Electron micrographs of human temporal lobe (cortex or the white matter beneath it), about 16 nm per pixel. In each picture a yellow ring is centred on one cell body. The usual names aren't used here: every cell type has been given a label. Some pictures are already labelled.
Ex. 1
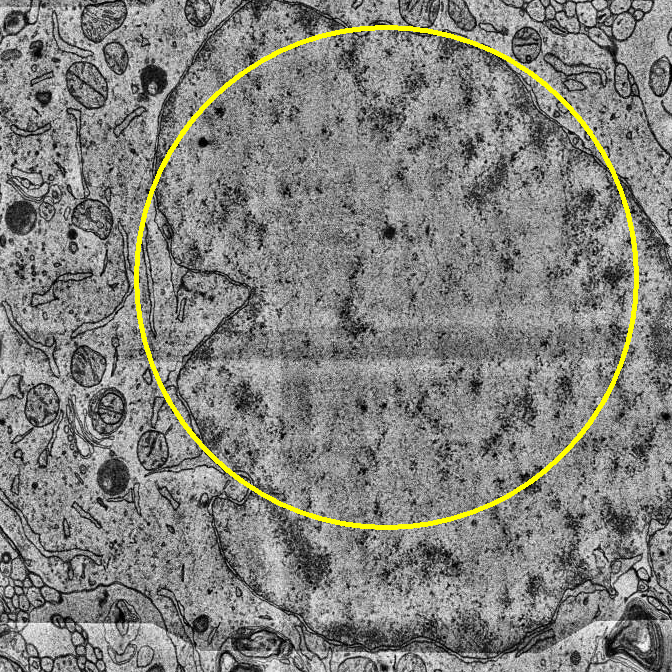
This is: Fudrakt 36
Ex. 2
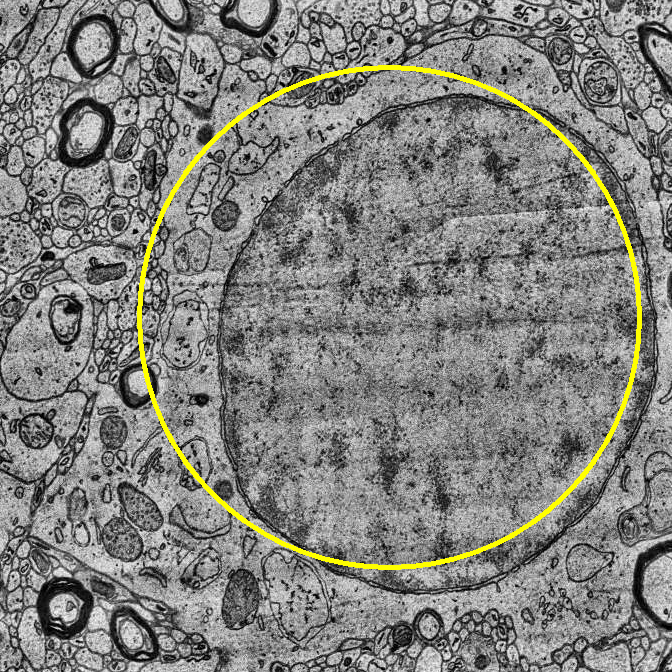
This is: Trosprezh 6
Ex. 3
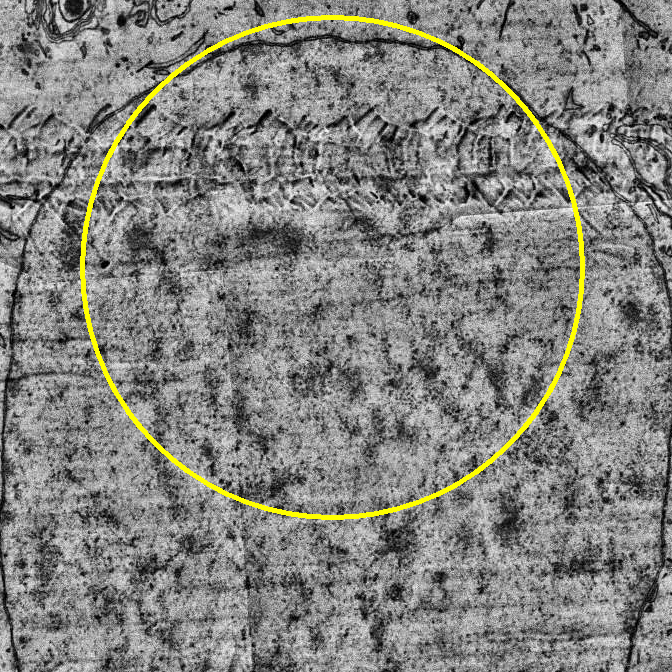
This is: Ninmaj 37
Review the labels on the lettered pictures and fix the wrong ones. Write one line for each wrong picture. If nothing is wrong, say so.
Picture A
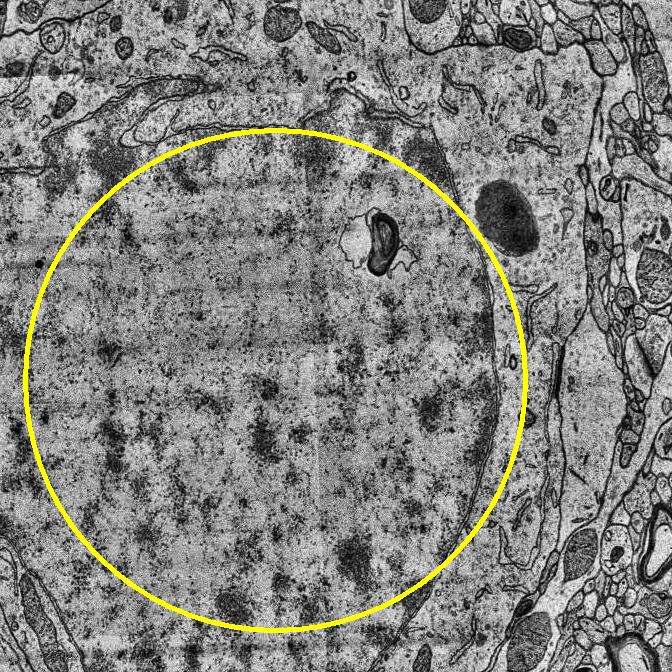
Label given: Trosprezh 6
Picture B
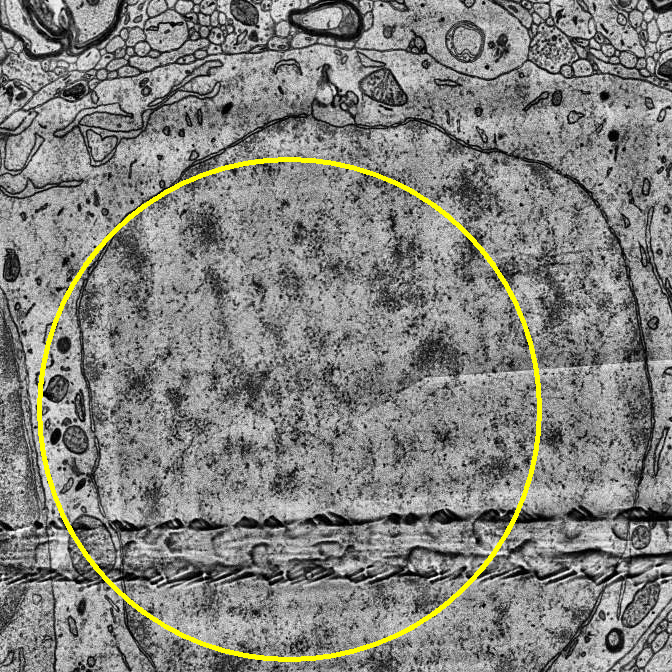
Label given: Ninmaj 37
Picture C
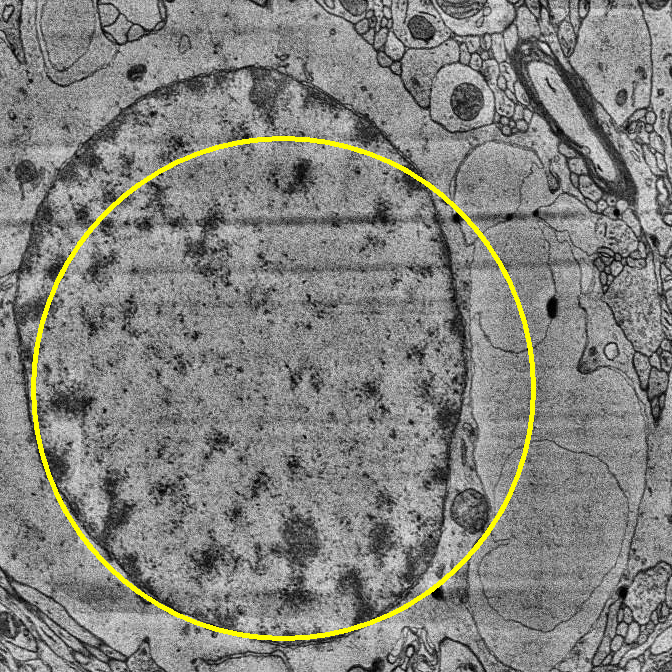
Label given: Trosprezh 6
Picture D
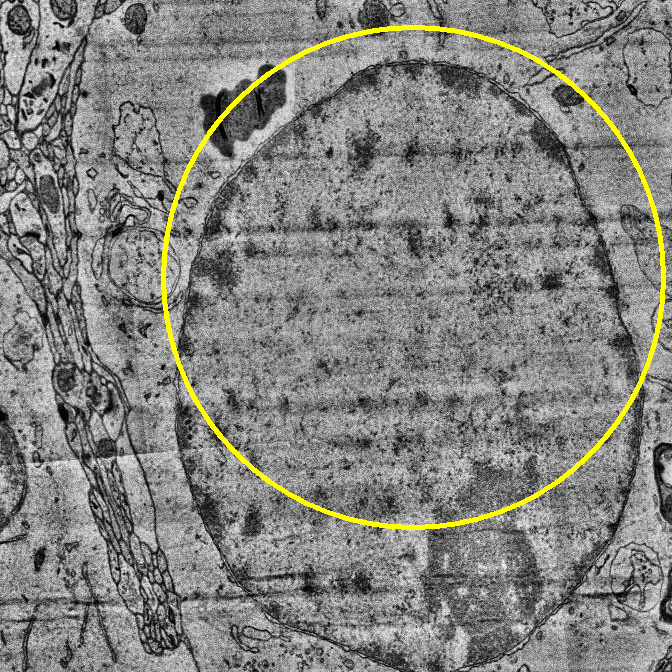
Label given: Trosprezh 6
A: change Trosprezh 6 to Fudrakt 36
